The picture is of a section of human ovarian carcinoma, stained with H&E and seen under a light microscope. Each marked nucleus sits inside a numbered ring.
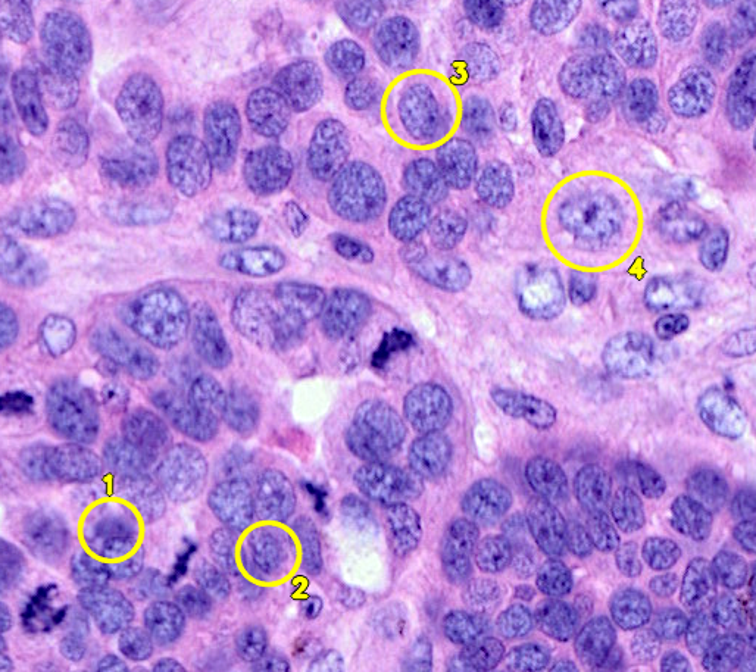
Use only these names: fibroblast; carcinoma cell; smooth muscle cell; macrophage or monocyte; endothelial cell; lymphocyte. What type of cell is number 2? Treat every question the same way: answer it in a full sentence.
The cell with the number 2 is a carcinoma cell.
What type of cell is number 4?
Denoted by the label 4 in the section is a fibroblast.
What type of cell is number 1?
The nucleus labelled 1 belongs to a carcinoma cell.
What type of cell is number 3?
It is as a carcinoma cell that the cell numbered 3 is identified.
